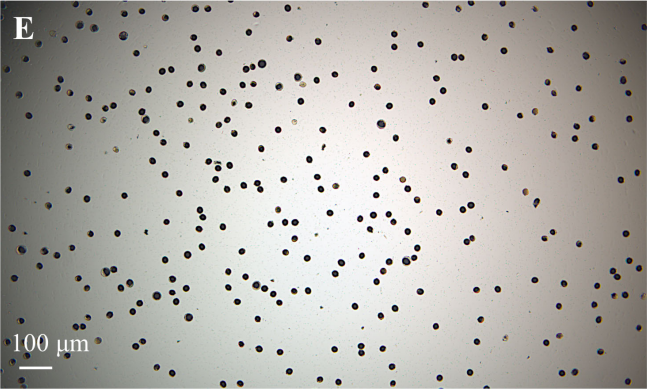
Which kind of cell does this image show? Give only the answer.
Pollen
